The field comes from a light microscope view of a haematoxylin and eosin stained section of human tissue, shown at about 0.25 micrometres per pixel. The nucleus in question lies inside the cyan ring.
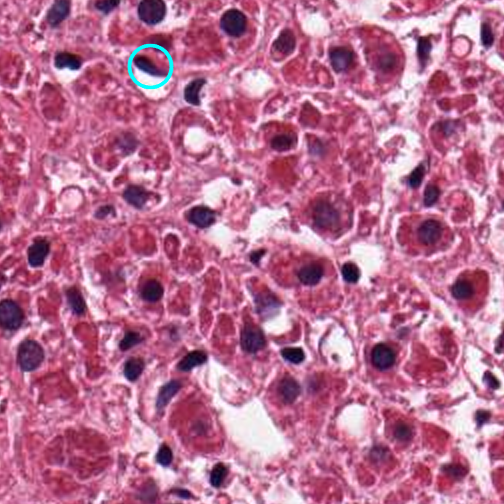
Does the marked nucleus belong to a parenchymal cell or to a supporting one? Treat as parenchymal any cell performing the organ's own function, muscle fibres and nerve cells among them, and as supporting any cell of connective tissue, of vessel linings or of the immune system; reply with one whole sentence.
A supporting cell is the cell whose nucleus is marked.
